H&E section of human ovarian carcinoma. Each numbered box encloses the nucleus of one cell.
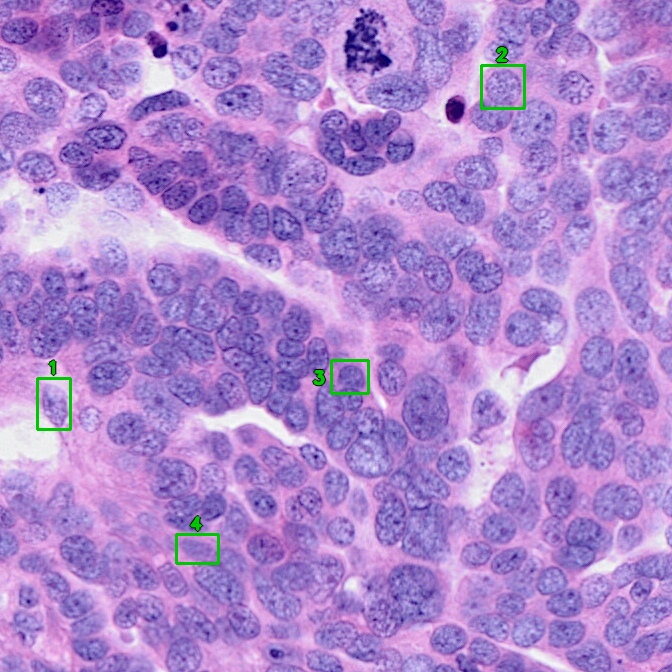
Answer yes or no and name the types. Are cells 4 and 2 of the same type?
Yes, both are carcinoma cells.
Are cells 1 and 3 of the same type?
No, cell 1 is a fibroblast and cell 3 is a carcinoma cell.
